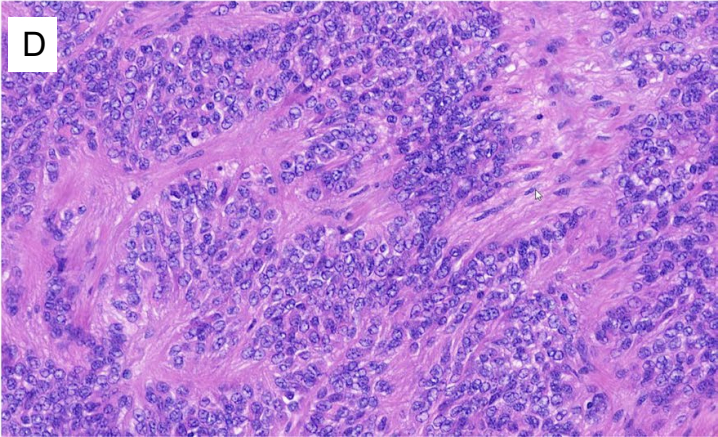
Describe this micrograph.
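The tumour cells have crowded round to oval nuclei, many with visible nucleoli, and scant pink cytoplasm. The fibrous septa are pale pink and fibrillar, with few elongated spindle-shaped nuclei, and wind between the cell groups.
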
